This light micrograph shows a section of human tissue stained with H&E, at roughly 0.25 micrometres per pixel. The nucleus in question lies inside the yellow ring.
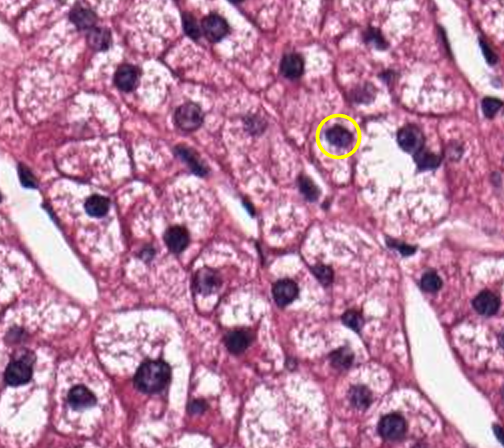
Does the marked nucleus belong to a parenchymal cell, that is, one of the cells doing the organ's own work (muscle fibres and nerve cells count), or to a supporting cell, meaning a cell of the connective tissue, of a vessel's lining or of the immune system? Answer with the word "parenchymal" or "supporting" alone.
parenchymal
